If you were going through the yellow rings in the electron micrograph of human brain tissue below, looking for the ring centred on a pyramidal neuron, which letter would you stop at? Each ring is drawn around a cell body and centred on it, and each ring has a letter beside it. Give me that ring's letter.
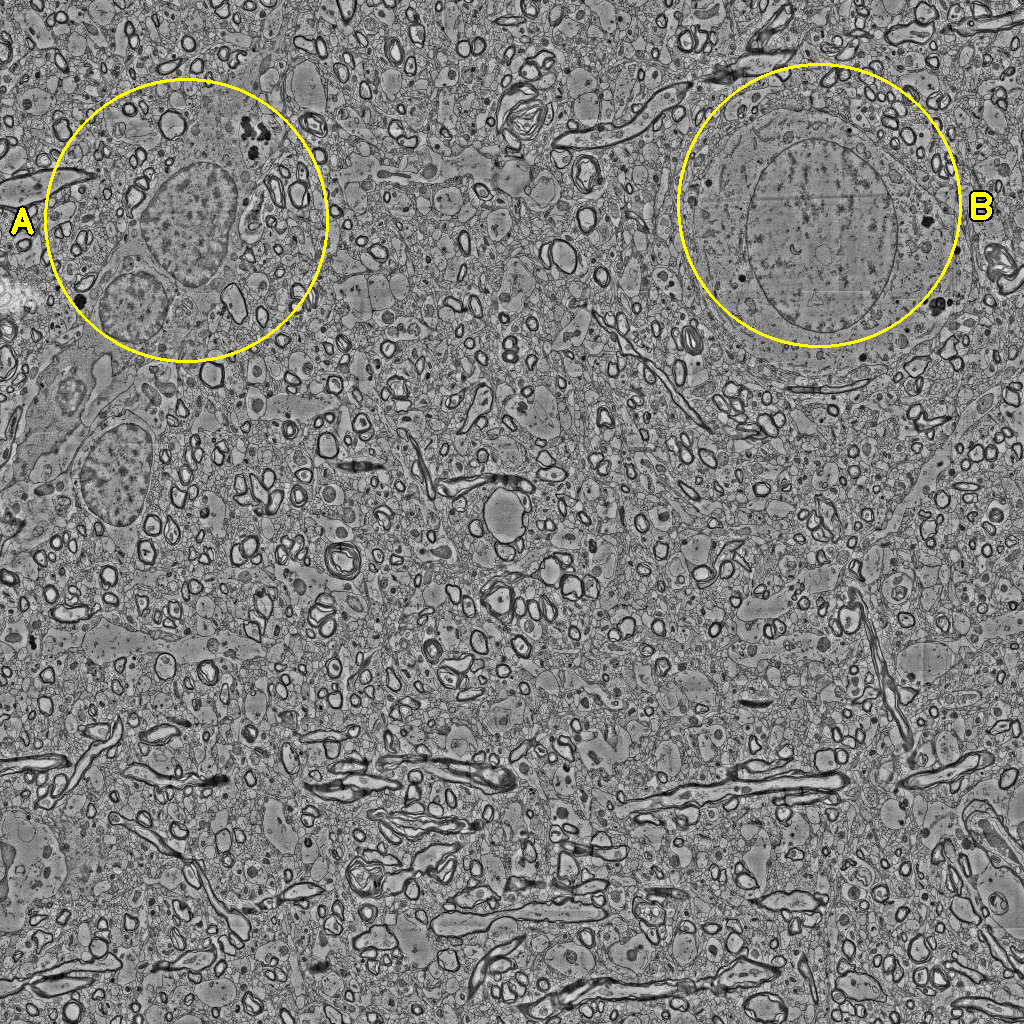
B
